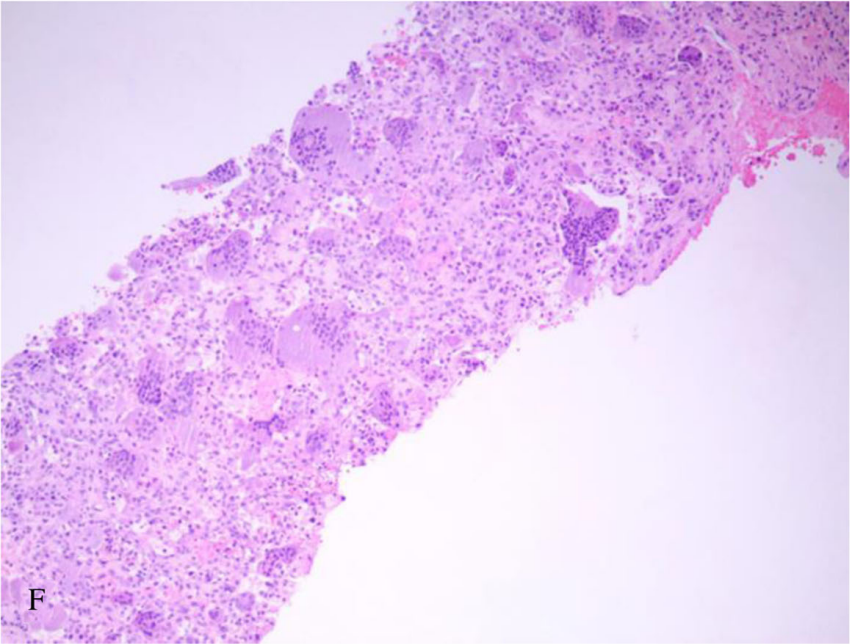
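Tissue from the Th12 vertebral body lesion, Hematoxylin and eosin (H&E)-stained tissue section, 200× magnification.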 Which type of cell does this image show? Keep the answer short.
osteoclast-like giant cells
